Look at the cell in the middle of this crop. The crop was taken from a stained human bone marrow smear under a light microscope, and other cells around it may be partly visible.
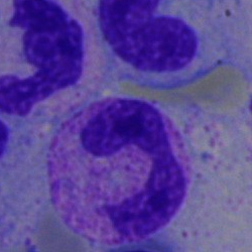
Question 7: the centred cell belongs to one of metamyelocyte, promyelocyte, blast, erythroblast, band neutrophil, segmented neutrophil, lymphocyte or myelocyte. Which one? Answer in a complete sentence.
Positioned in the middle of the crop is a segmented neutrophil.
